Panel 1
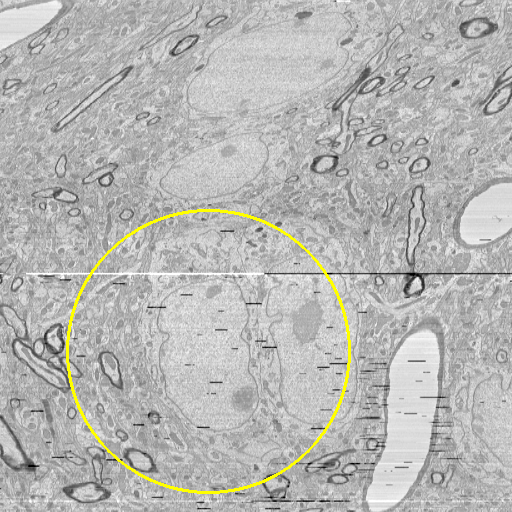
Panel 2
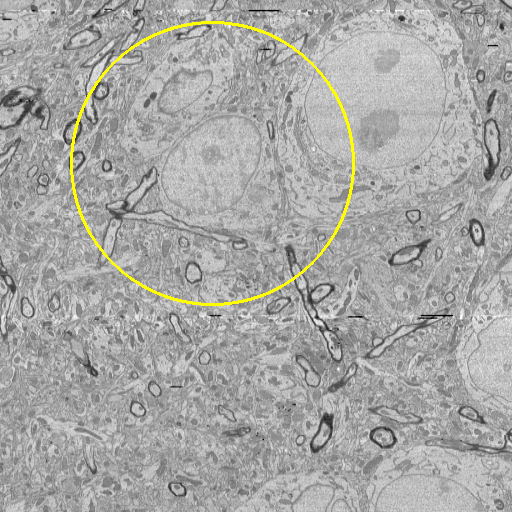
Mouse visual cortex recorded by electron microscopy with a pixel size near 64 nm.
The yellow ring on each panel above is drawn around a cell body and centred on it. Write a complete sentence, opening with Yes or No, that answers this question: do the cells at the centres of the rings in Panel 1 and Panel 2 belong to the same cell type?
No, the two cells belong to two cell types.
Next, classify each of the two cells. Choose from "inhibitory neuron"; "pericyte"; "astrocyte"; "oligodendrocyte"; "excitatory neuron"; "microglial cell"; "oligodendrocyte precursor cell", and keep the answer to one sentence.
In the first picture it is an excitatory neuron; in the second it is an oligodendrocyte.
